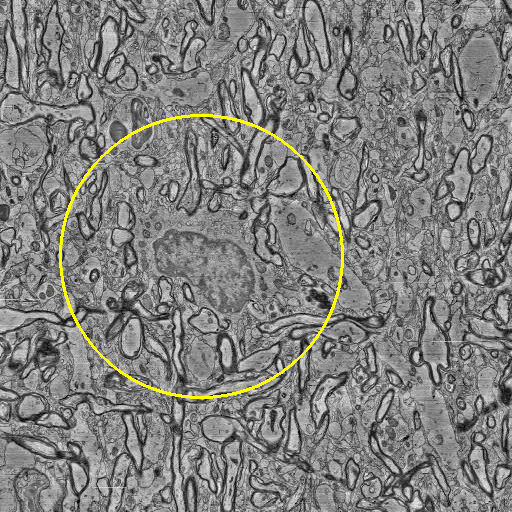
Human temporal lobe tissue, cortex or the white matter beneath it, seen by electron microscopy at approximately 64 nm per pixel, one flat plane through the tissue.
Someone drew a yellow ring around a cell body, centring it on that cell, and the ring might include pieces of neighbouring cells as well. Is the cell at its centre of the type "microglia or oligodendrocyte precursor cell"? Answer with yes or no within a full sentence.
No, within the picture, the cell the ring is centred on is a different type.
